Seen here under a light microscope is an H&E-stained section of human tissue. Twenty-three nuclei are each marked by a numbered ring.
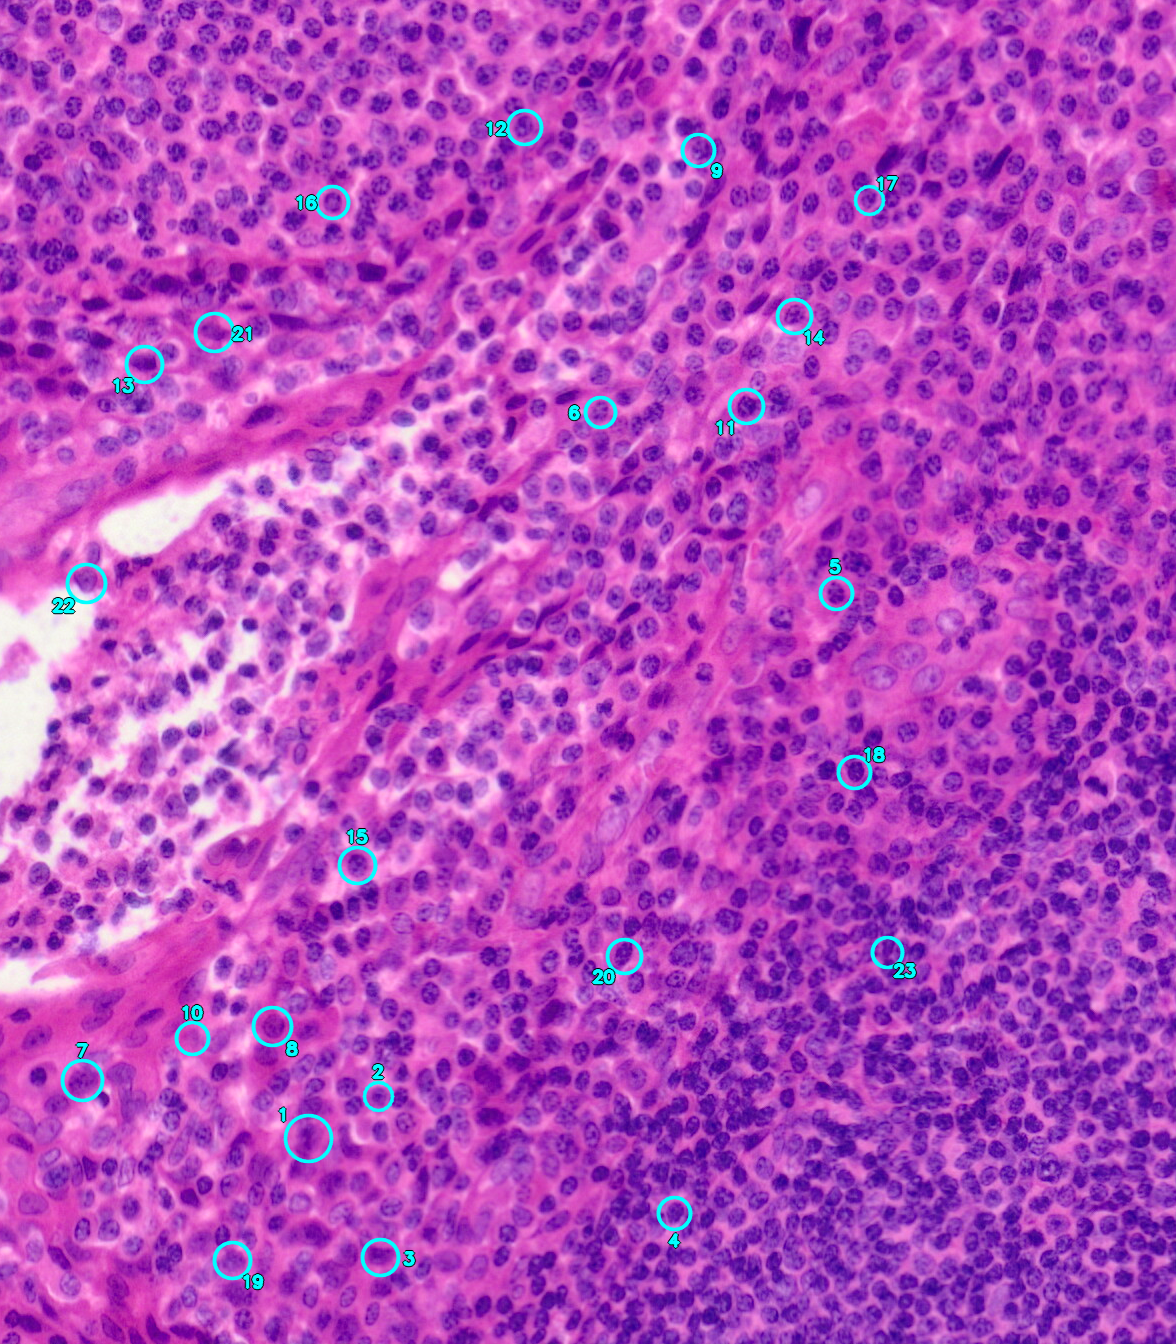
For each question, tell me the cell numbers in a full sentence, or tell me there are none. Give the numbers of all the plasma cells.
The cells that have numbers 2, 5, 6, 9, 11, 12, 14, 15, 16, 17, 18 and 20 are plasma cells.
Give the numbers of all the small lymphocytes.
The cells numbered 4 and 23 are, by type, small lymphocytes.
